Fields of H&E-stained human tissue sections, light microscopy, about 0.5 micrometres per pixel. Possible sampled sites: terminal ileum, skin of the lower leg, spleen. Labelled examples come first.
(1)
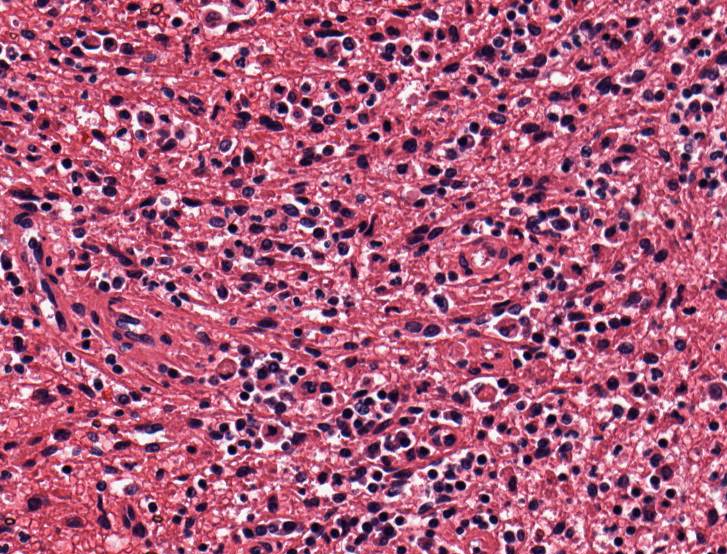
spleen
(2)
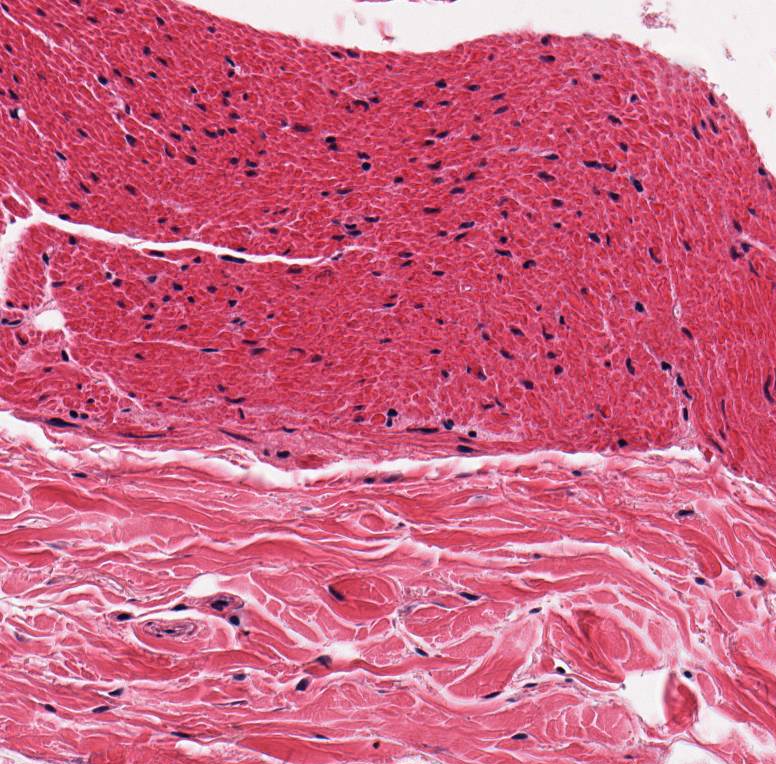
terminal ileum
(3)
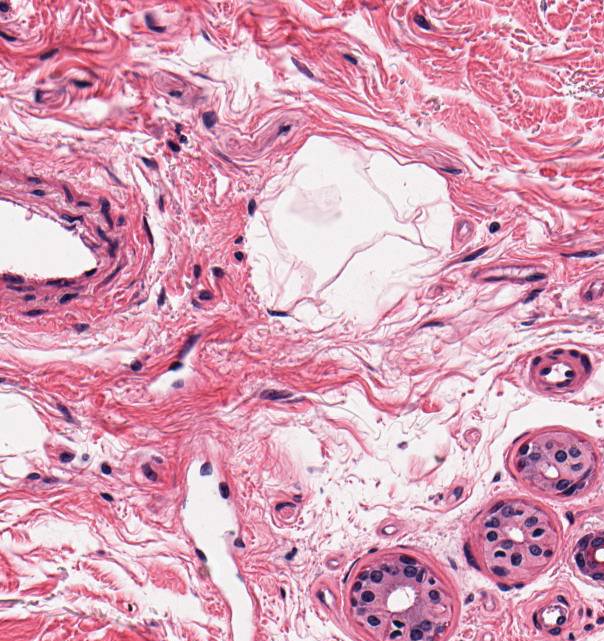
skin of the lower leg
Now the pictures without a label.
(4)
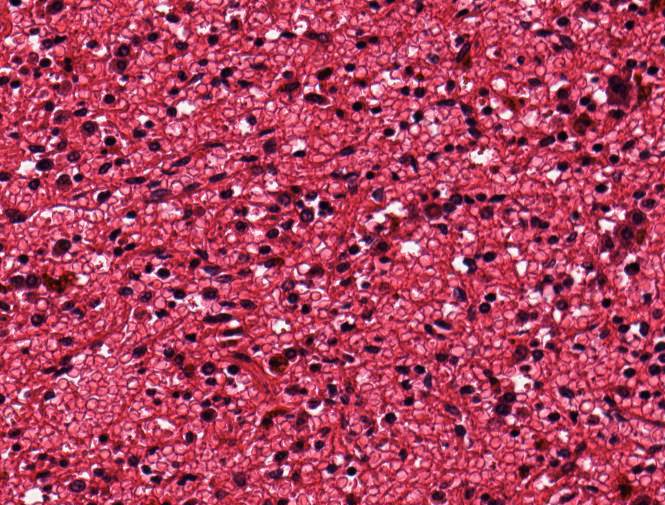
spleen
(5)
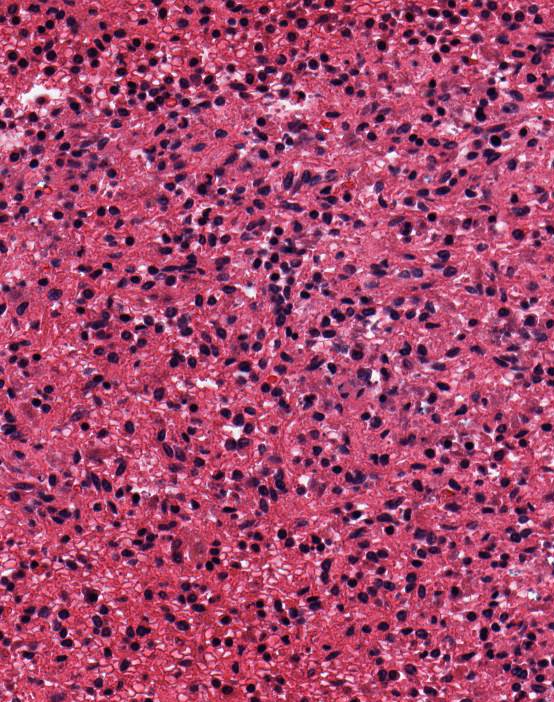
spleen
